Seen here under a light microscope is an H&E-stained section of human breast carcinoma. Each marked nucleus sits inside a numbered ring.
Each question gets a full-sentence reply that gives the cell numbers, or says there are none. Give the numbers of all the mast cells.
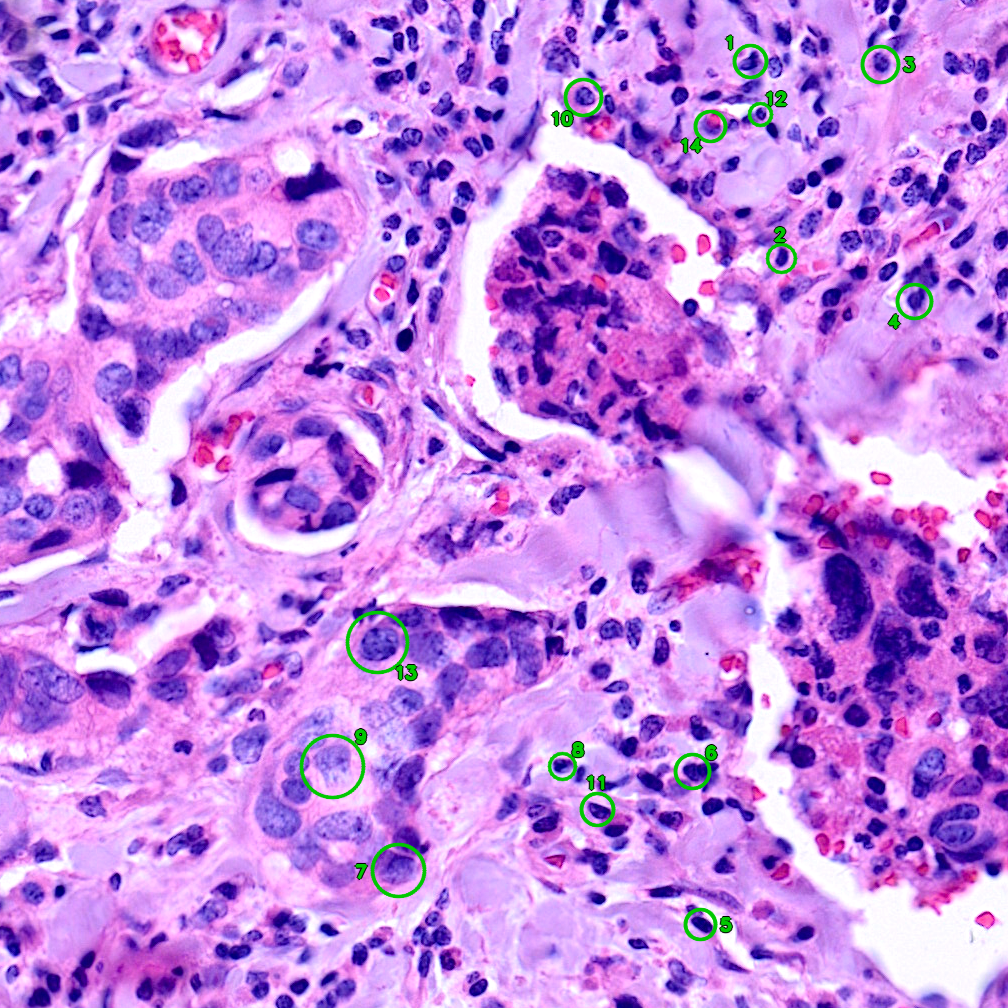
Cells 3 and 10 share one type; they are mast cells.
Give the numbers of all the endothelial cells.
Only at number 14 is there an endothelial cell among the marked cells.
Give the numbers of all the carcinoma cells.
In terms of cell type, cells 7, 9 and 13 are carcinoma cells.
